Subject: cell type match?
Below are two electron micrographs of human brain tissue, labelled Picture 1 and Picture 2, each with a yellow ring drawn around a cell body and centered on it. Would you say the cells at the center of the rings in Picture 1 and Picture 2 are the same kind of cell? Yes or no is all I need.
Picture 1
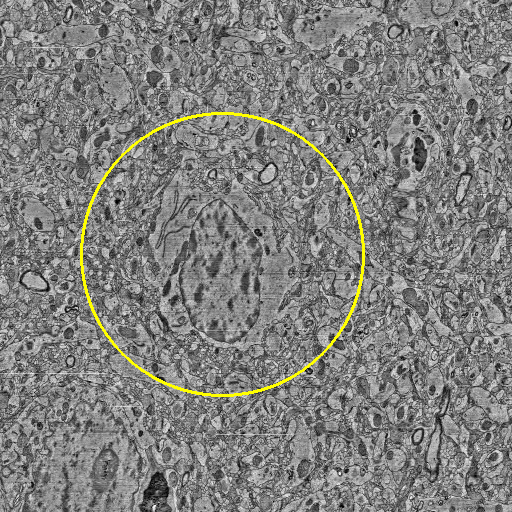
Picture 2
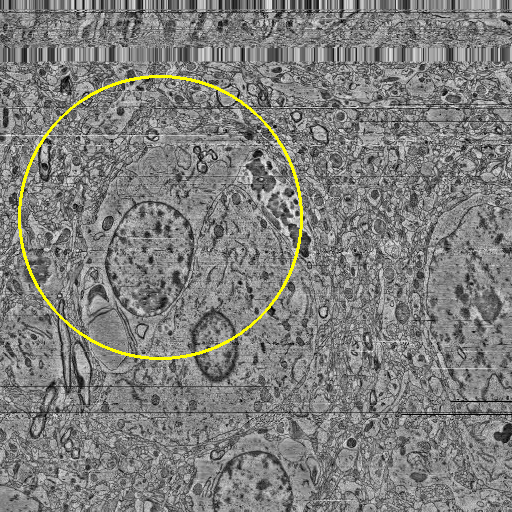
yes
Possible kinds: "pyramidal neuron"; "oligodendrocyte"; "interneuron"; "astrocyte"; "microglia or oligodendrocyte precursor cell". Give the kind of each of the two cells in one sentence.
Each of the two rings surrounds an astrocyte.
